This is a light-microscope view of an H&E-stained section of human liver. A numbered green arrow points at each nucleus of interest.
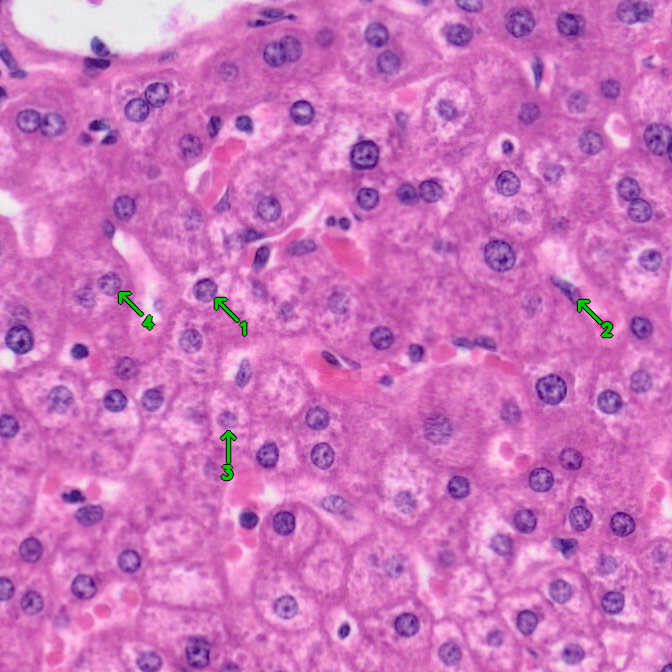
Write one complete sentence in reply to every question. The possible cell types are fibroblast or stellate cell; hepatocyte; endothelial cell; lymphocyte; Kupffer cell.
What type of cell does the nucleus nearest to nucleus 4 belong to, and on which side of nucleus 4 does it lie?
It is a hepatocyte, whose nucleus lies below and to the left of nucleus 4.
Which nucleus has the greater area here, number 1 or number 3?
It is nucleus 1, which covers about 1.5 times the area of nucleus 3.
